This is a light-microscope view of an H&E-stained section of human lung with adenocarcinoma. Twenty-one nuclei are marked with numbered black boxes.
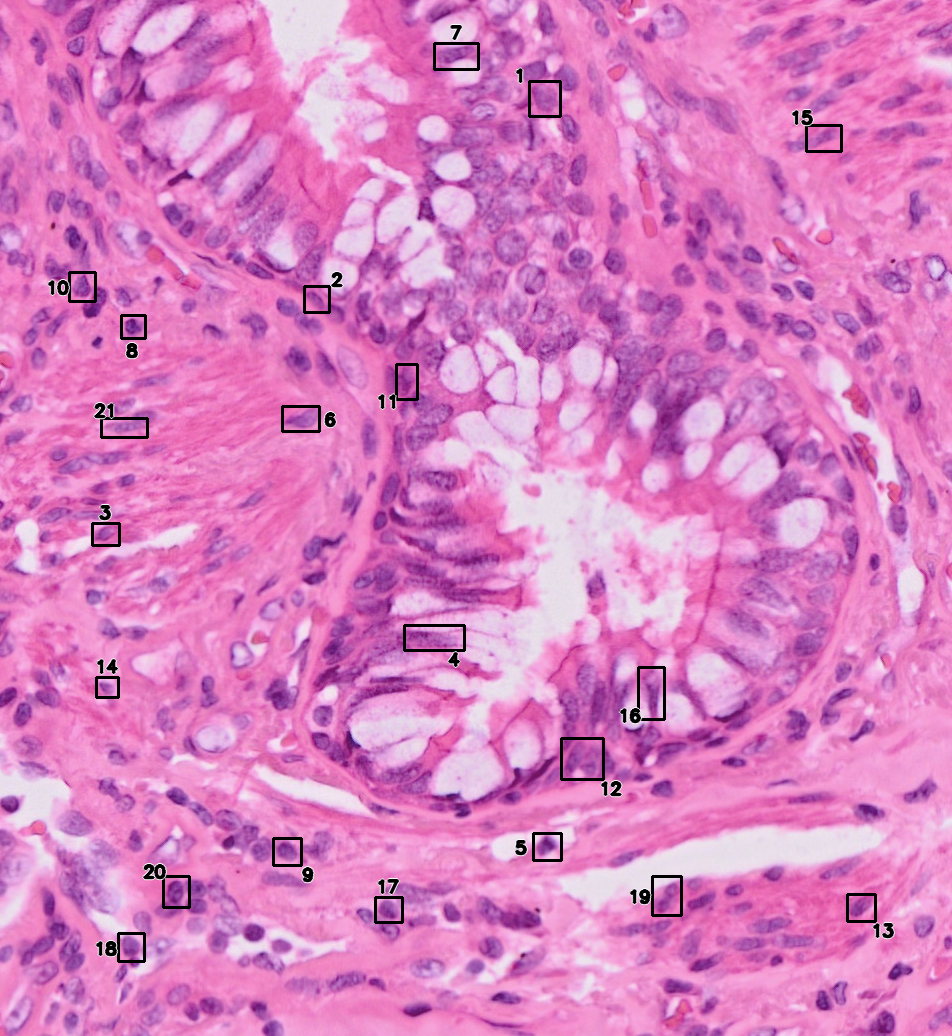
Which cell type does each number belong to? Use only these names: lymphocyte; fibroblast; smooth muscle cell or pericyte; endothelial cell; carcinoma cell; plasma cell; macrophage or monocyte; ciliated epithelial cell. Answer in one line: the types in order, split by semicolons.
ciliated epithelial cell; ciliated epithelial cell; smooth muscle cell or pericyte; ciliated epithelial cell; lymphocyte; smooth muscle cell or pericyte; ciliated epithelial cell; lymphocyte; lymphocyte; lymphocyte; ciliated epithelial cell; ciliated epithelial cell; smooth muscle cell or pericyte; smooth muscle cell or pericyte; smooth muscle cell or pericyte; ciliated epithelial cell; lymphocyte; lymphocyte; smooth muscle cell or pericyte; lymphocyte; smooth muscle cell or pericyte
